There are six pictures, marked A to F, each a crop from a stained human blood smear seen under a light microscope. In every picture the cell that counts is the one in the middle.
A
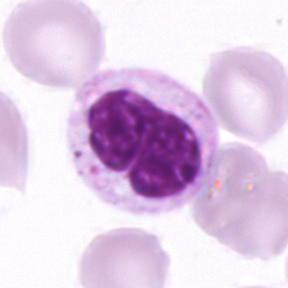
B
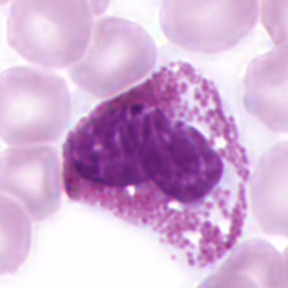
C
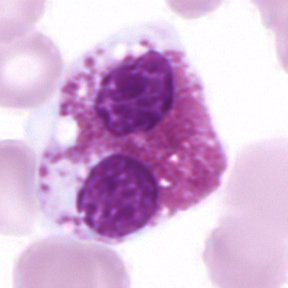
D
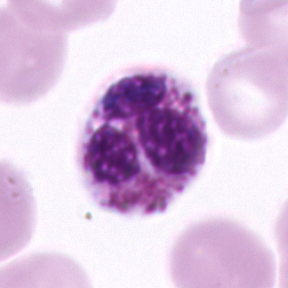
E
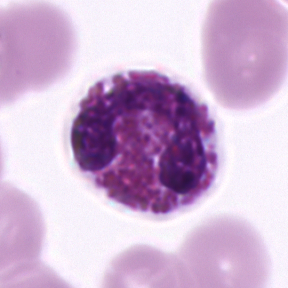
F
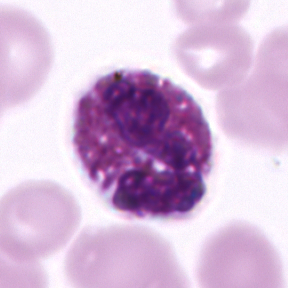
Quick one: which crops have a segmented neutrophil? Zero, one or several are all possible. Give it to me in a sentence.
Among the central cells of the crops, none is a segmented neutrophil.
